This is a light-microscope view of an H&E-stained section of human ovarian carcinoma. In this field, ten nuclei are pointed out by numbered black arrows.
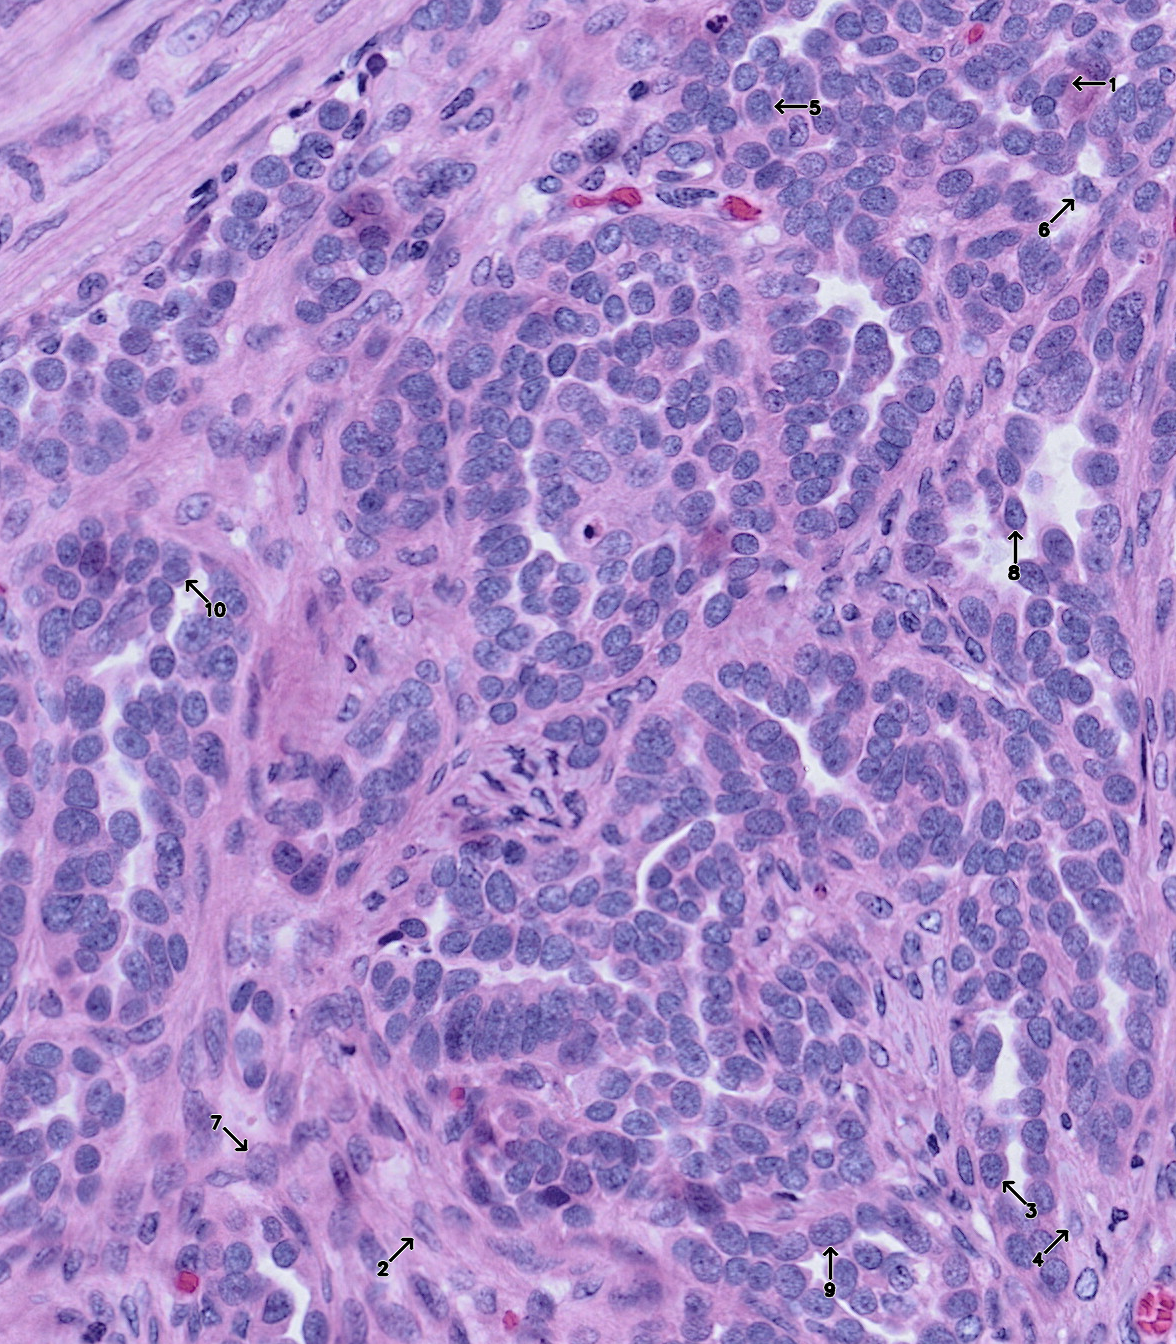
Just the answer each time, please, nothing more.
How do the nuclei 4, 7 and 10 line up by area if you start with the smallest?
4, 10, 7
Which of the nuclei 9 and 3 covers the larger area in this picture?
9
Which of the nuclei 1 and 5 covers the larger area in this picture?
5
